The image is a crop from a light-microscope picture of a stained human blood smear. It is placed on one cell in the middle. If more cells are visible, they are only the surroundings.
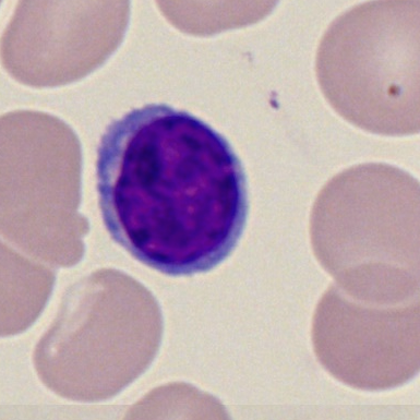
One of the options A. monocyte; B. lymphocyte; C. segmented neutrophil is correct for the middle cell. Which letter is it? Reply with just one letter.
B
